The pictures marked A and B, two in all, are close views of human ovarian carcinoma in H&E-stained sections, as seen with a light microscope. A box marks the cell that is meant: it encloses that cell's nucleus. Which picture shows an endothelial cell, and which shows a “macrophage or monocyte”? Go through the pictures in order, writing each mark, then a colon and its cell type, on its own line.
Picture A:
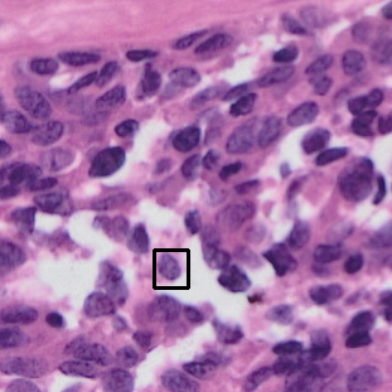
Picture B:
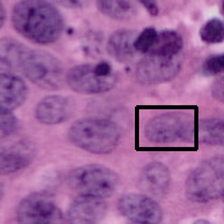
A: macrophage or monocyte
B: endothelial cell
